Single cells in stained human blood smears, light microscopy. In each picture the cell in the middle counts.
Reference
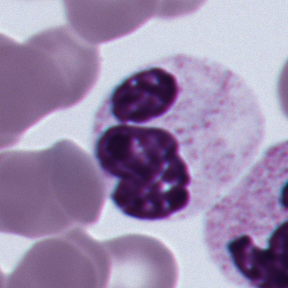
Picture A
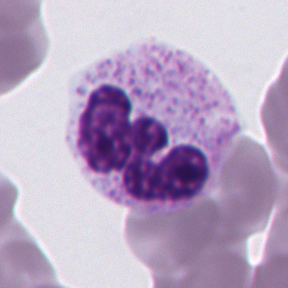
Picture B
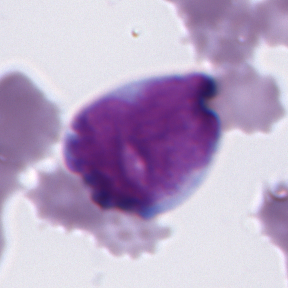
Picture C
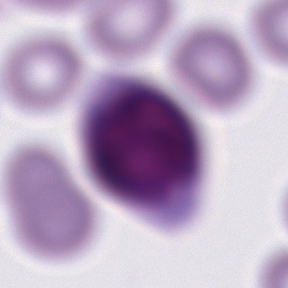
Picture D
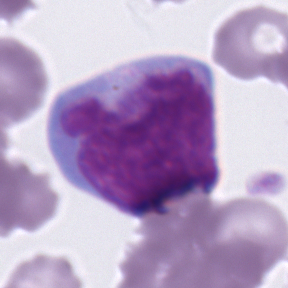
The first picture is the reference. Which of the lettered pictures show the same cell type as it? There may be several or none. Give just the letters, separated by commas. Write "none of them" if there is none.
A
